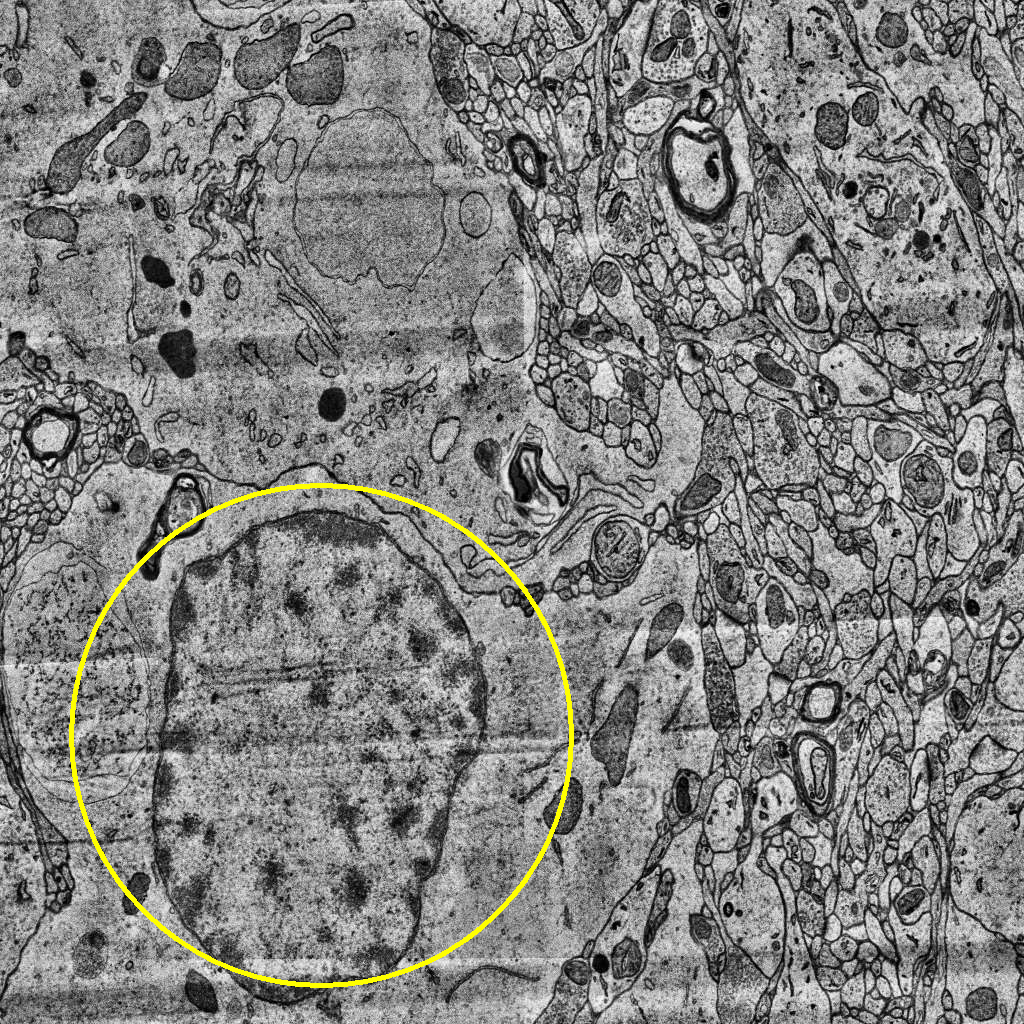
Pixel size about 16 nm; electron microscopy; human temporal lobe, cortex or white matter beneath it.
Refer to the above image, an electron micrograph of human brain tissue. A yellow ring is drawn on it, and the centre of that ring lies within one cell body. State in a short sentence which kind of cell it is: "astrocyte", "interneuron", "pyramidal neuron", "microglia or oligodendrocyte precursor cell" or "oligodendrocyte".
The centre of the ring falls on an astrocyte.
